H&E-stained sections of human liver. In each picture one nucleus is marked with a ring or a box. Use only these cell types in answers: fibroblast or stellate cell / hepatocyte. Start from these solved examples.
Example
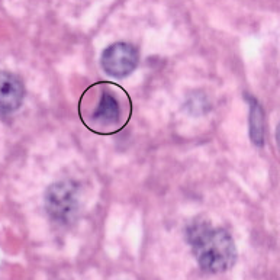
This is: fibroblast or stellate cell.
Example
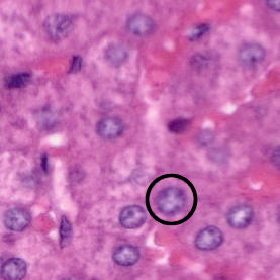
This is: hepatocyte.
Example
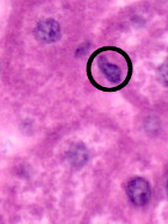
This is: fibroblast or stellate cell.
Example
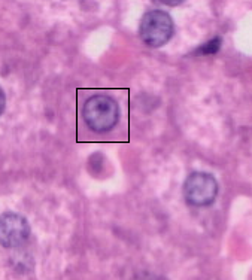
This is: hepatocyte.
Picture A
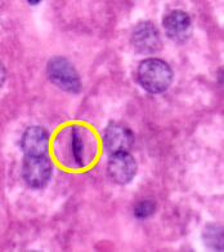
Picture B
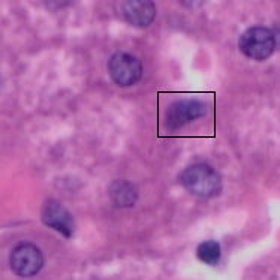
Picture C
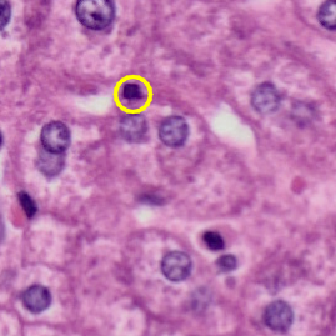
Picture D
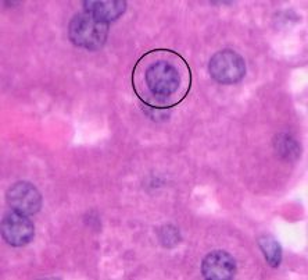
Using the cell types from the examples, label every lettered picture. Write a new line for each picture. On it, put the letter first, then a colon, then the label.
A: fibroblast or stellate cell.
B: fibroblast or stellate cell.
C: fibroblast or stellate cell.
D: hepatocyte.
